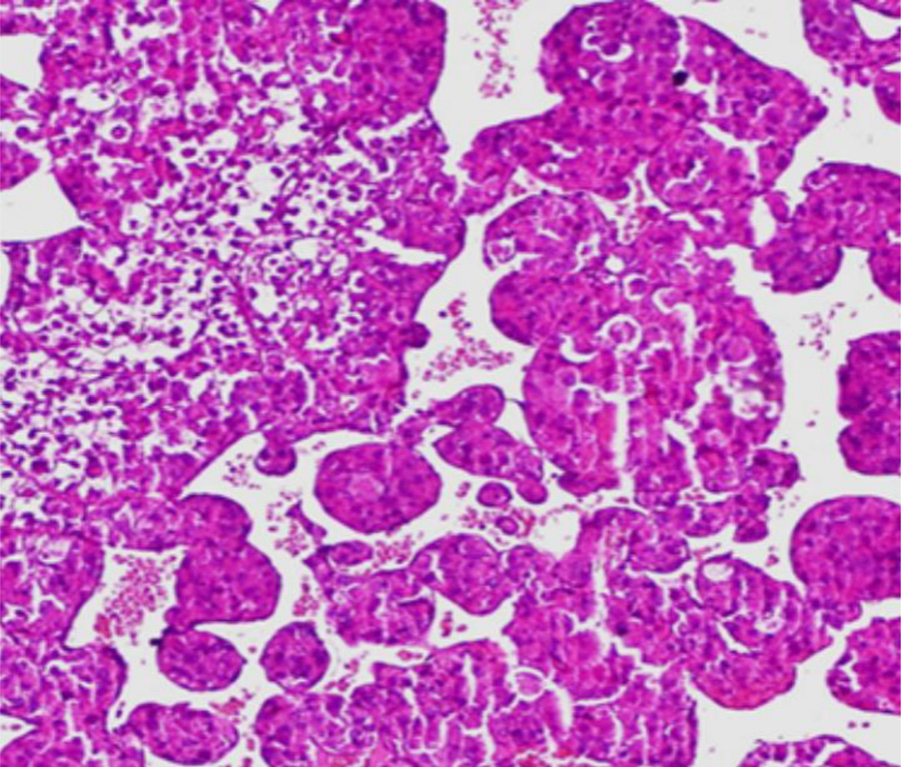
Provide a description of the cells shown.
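Tumor tissue made of nests of densely packed cells with purple-staining cytoplasm and dark nuclei. The nests are rounded and lobulated, giving a pseudo-alveolar pattern. Narrow branching clear spaces run between the nests and contain scattered small red blood cells. Within some nests small clear lumen-like gaps are present. In the upper left the cells lie more loosely, with many small clear gaps between them.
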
